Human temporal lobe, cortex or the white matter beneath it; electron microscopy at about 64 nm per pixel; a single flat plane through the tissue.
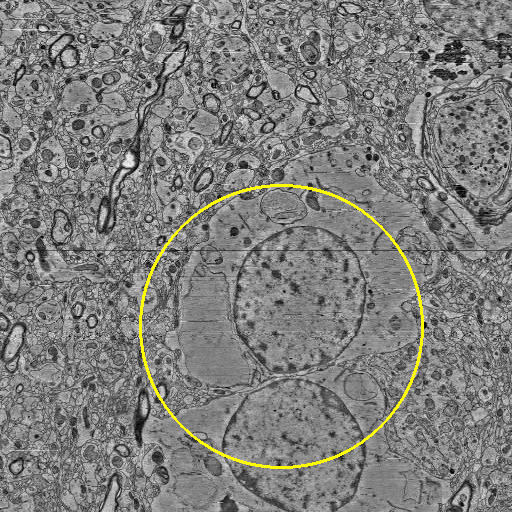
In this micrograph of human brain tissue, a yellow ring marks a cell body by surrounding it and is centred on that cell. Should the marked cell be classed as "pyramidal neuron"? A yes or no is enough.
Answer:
no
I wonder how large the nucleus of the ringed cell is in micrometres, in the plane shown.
In this plane, approximately 9 micrometres across.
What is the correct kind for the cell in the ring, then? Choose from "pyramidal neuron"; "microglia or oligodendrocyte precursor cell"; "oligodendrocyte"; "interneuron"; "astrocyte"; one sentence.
As it turns out, the cell at the ring centre is an astrocyte.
